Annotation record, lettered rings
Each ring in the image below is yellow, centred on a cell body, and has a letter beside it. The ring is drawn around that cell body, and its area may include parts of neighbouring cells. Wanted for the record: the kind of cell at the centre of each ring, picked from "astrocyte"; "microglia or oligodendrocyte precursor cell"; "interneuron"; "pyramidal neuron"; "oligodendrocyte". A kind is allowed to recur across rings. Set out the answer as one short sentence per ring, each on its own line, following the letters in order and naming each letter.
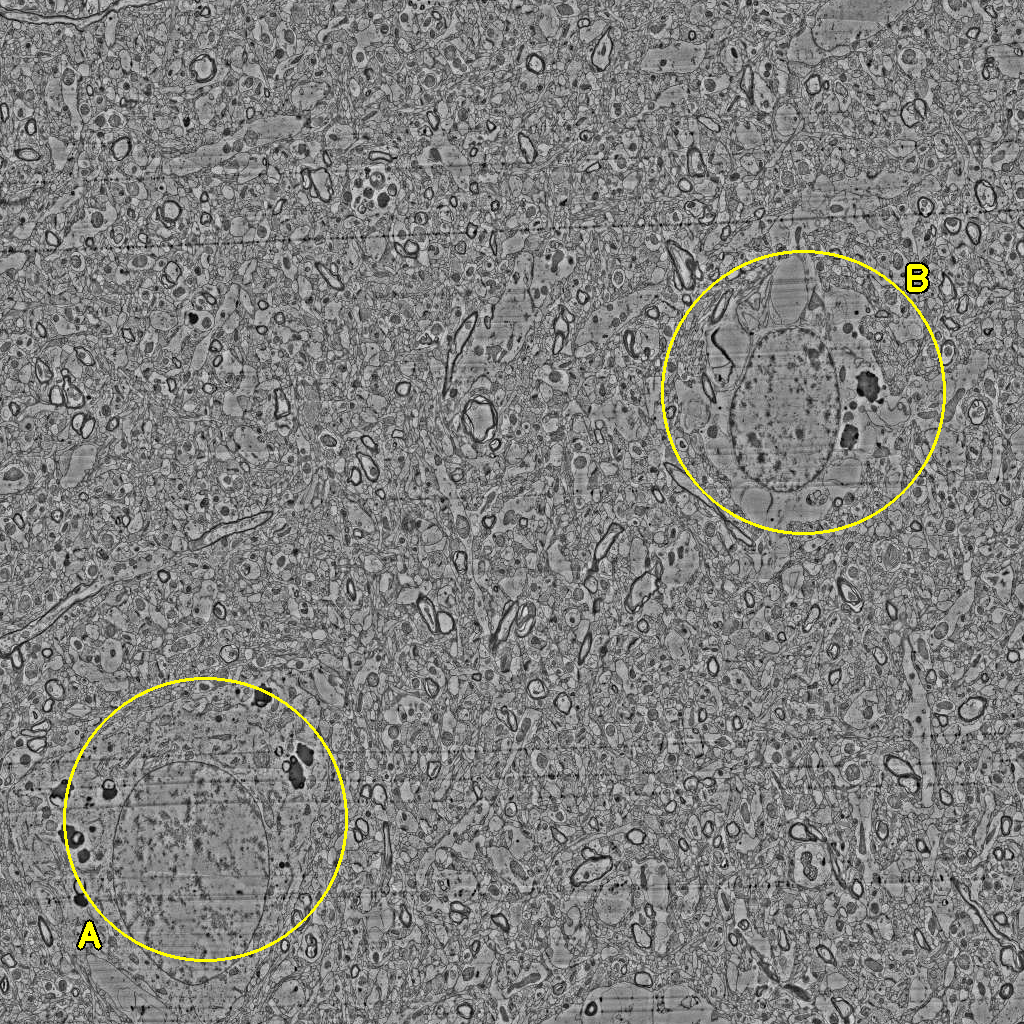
Ring A was drawn on a pyramidal neuron.
Ring B was drawn on an astrocyte.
